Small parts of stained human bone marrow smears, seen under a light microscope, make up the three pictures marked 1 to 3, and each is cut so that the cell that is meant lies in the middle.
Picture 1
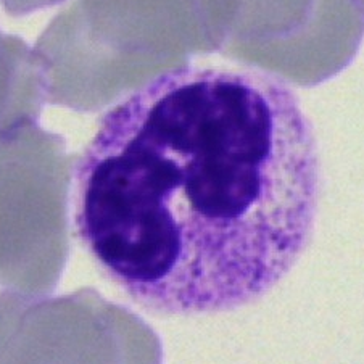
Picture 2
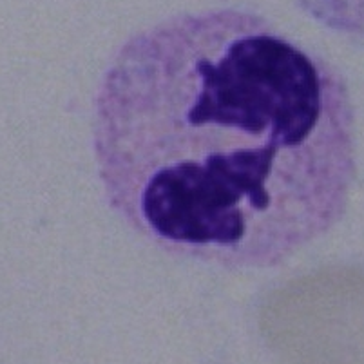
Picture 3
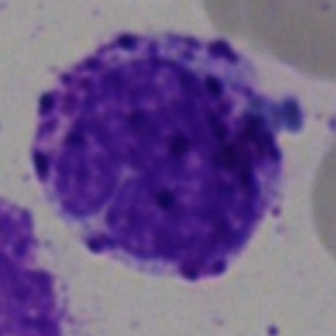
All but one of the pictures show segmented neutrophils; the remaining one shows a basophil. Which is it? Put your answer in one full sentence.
The cell in picture 3 is the basophil.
